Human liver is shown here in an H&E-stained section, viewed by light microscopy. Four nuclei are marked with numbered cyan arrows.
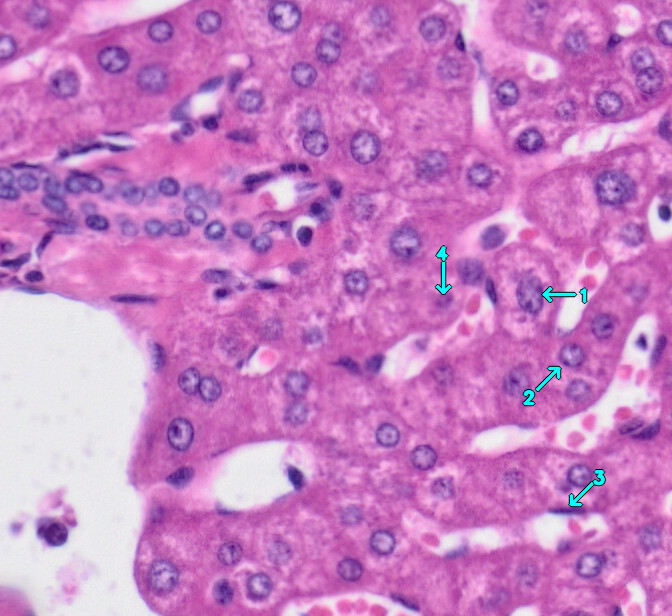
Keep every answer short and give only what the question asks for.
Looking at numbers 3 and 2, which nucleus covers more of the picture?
2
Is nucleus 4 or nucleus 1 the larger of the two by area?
1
